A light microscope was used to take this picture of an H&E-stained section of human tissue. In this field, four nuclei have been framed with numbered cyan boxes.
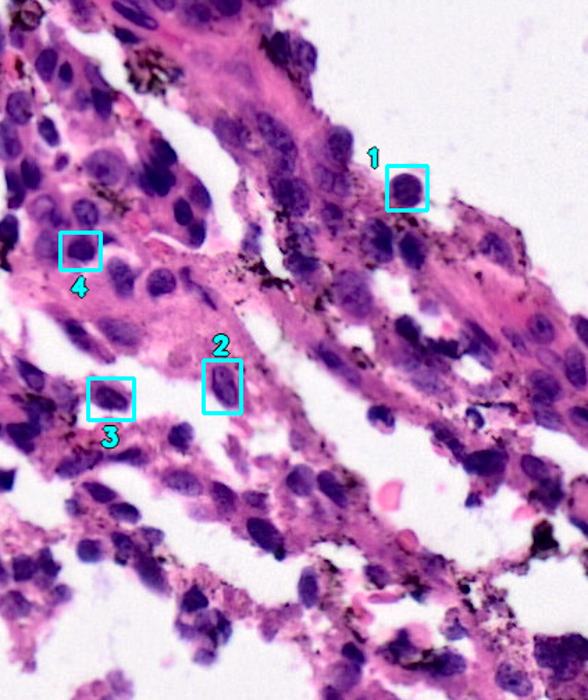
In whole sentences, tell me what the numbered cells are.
Cells 1, 3 and 4 are carcinoma cells. Cell 2 is a macrophage or monocyte.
